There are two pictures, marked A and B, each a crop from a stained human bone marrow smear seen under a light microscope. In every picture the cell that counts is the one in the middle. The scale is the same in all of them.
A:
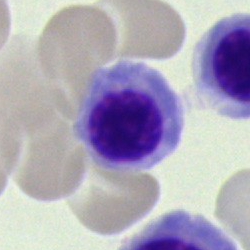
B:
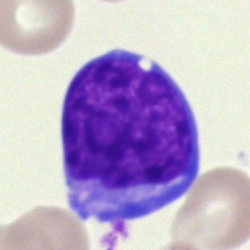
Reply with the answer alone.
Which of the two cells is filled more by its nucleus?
B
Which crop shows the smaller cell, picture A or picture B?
A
